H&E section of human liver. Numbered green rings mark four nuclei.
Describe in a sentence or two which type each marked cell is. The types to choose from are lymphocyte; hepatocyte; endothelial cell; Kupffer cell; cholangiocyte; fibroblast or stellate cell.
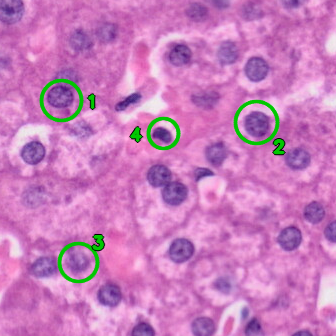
Cells 1, 2 and 3 are hepatocytes. Cell 4 is a lymphocyte.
